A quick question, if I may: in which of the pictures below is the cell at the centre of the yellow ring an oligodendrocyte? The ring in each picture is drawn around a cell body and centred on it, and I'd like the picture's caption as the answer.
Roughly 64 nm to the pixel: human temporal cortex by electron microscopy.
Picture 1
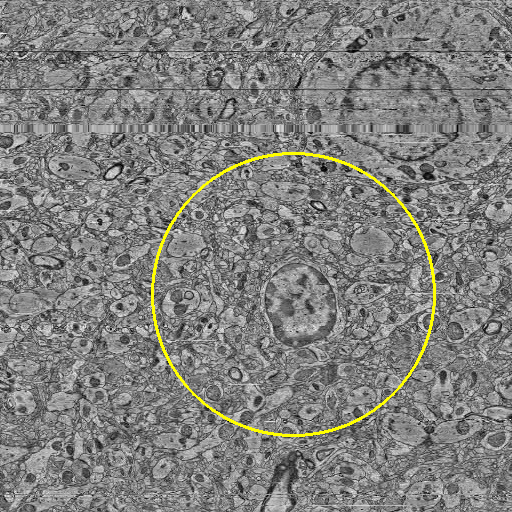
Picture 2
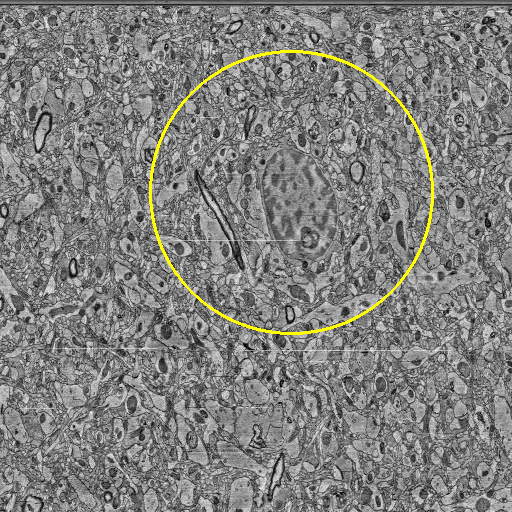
Picture 2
